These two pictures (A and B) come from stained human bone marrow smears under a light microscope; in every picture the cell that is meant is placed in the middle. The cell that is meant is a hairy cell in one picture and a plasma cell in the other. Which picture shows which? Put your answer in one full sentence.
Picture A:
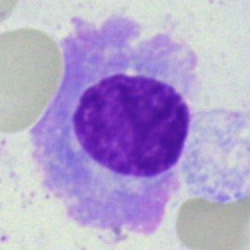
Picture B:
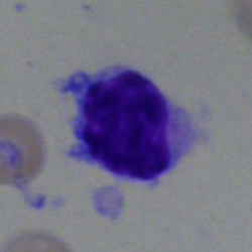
The cell in picture A is a plasma cell, and the one in picture B is a hairy cell.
